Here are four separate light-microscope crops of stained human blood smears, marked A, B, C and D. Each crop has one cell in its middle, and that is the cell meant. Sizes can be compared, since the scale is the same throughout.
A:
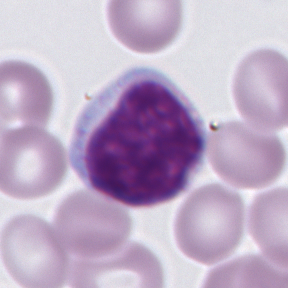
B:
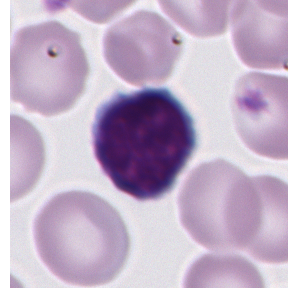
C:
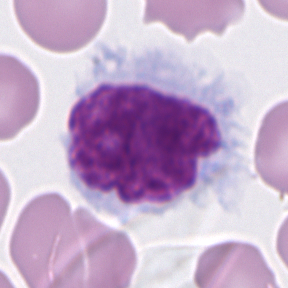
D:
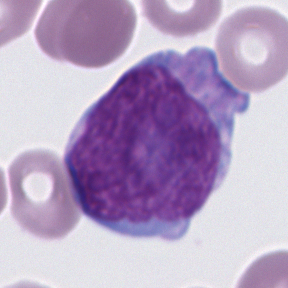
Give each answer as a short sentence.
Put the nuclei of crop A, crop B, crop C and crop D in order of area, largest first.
Largest first: D, C, A, B.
